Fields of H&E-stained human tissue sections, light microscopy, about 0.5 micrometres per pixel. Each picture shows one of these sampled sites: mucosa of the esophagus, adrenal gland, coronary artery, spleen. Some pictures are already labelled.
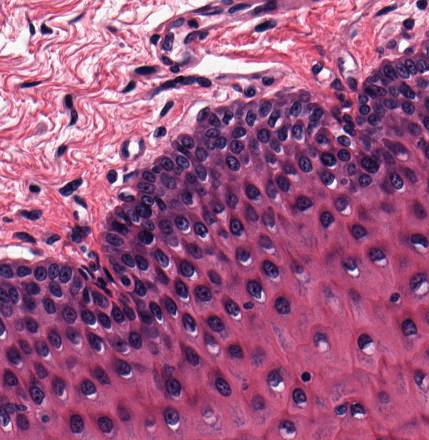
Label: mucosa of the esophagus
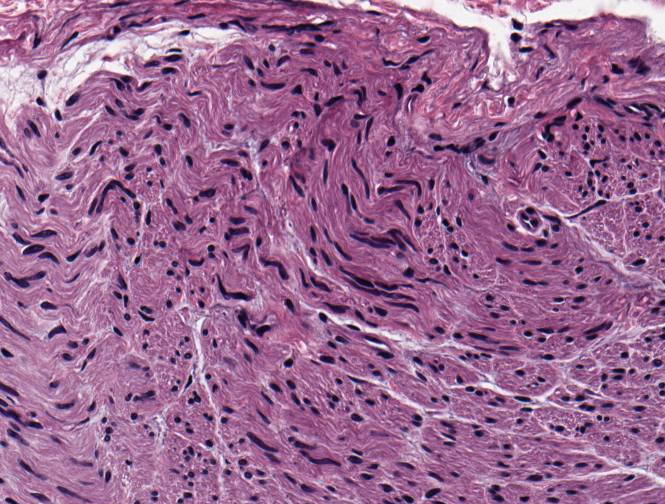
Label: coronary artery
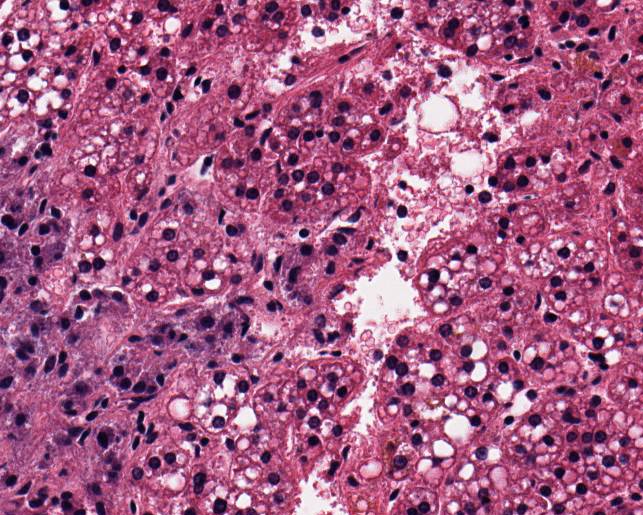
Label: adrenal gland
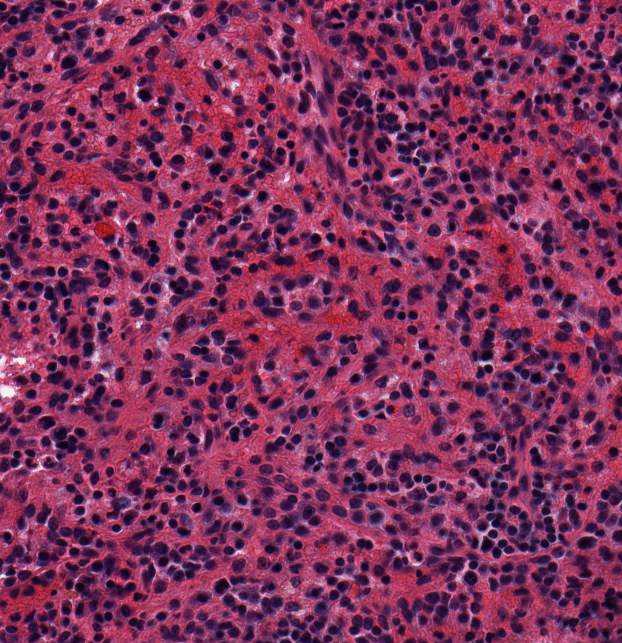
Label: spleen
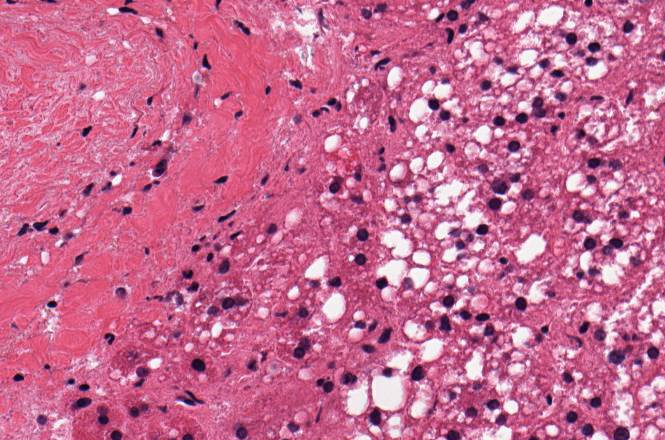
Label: adrenal gland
